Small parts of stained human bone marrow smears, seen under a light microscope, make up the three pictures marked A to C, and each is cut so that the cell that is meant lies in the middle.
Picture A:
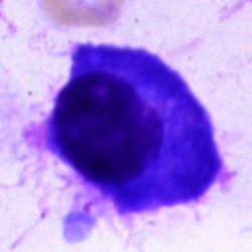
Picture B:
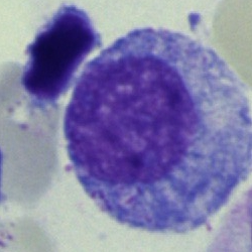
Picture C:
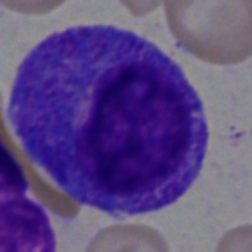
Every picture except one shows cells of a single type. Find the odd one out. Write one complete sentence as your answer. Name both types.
All pictures except A show promyelocytes; picture A shows a plasma cell.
